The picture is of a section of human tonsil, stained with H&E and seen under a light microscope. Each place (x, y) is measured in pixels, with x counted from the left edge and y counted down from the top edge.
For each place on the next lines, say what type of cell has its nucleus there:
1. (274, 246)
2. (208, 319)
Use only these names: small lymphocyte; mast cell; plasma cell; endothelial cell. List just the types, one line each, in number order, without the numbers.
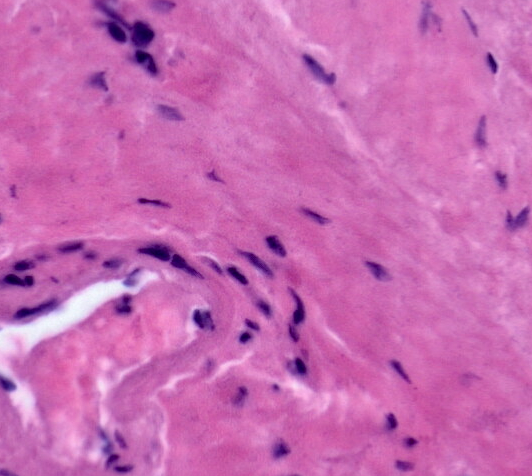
mast cell
endothelial cell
